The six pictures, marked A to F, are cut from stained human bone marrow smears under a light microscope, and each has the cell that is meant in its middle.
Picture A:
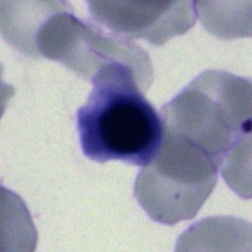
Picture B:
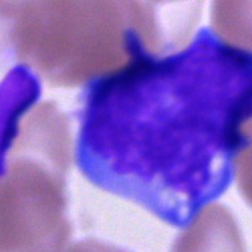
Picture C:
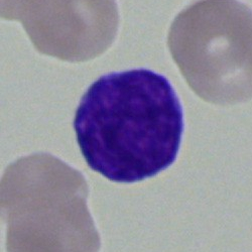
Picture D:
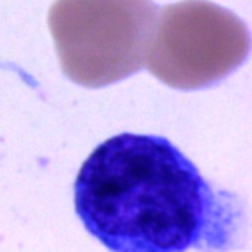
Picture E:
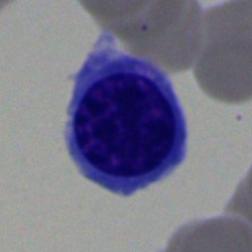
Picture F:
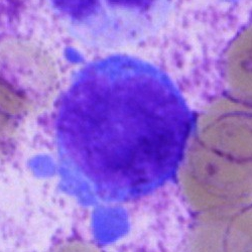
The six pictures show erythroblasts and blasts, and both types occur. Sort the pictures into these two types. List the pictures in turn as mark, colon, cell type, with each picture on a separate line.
A: erythroblast
B: blast
C: blast
D: blast
E: erythroblast
F: blast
